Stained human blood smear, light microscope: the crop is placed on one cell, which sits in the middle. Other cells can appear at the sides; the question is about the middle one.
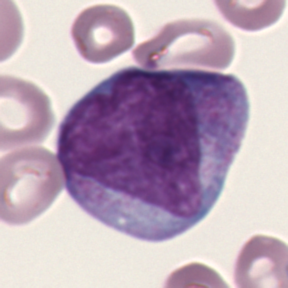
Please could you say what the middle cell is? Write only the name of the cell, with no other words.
atypical promyelocyte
